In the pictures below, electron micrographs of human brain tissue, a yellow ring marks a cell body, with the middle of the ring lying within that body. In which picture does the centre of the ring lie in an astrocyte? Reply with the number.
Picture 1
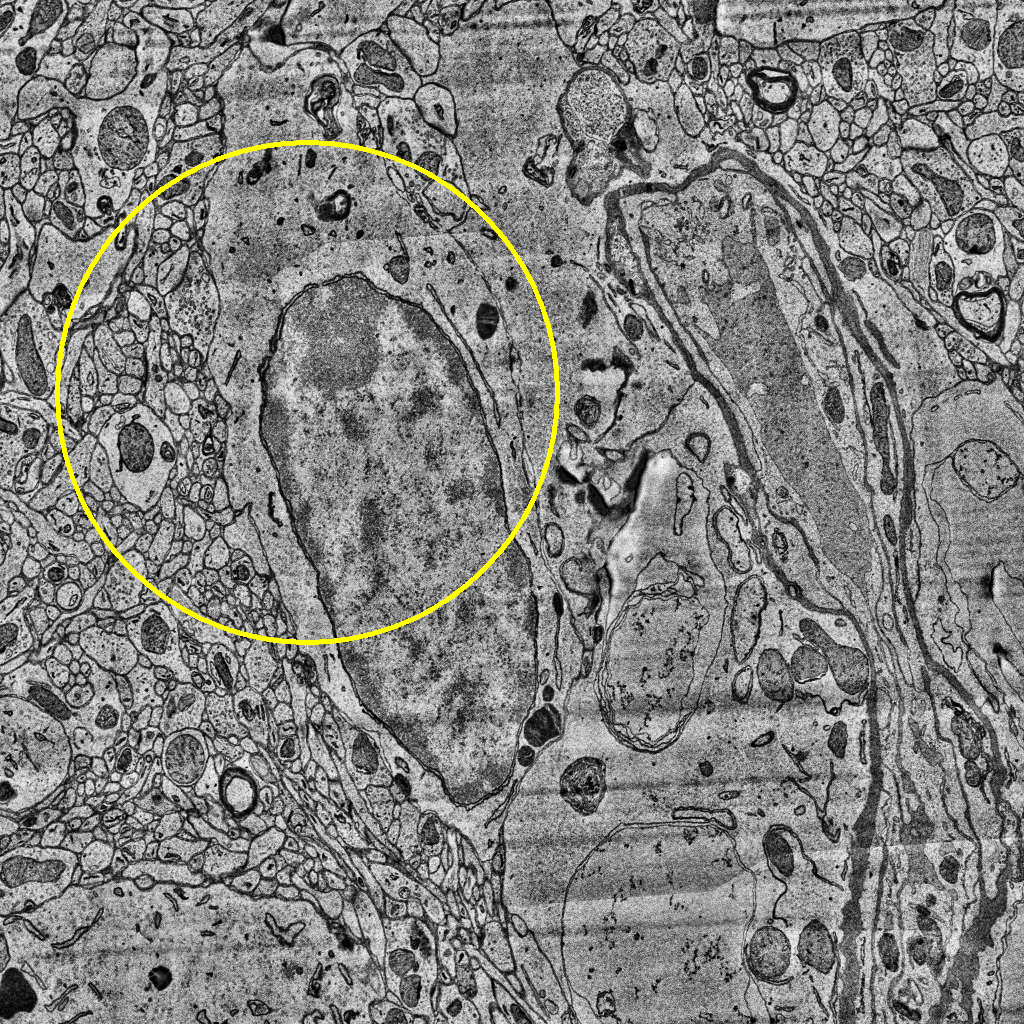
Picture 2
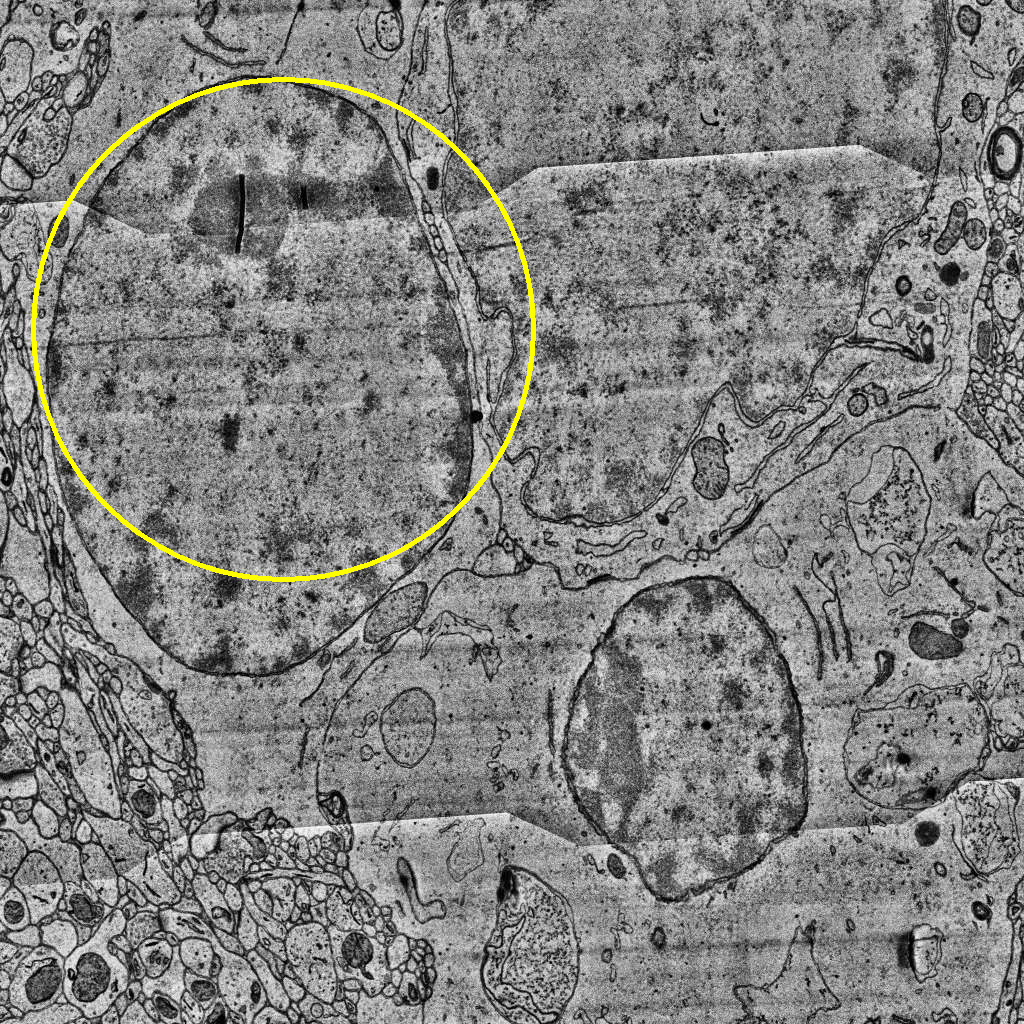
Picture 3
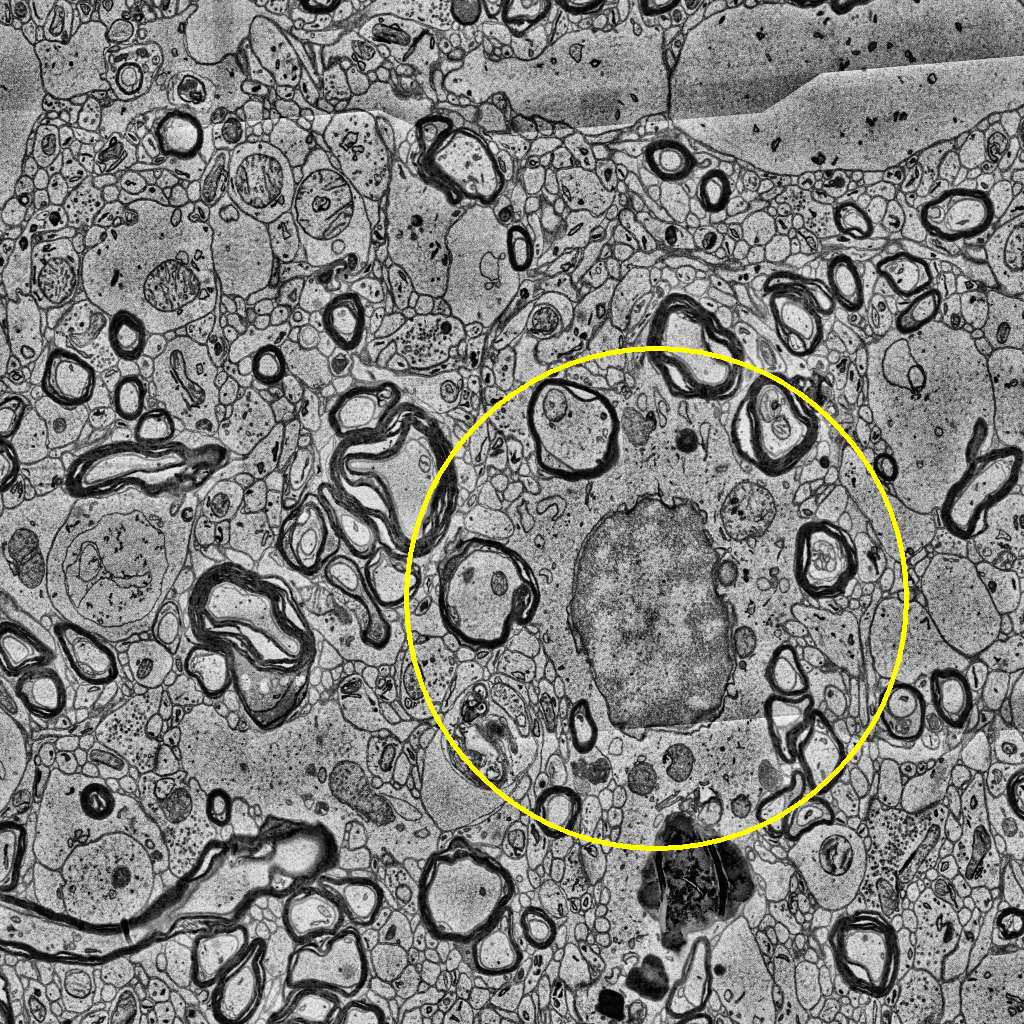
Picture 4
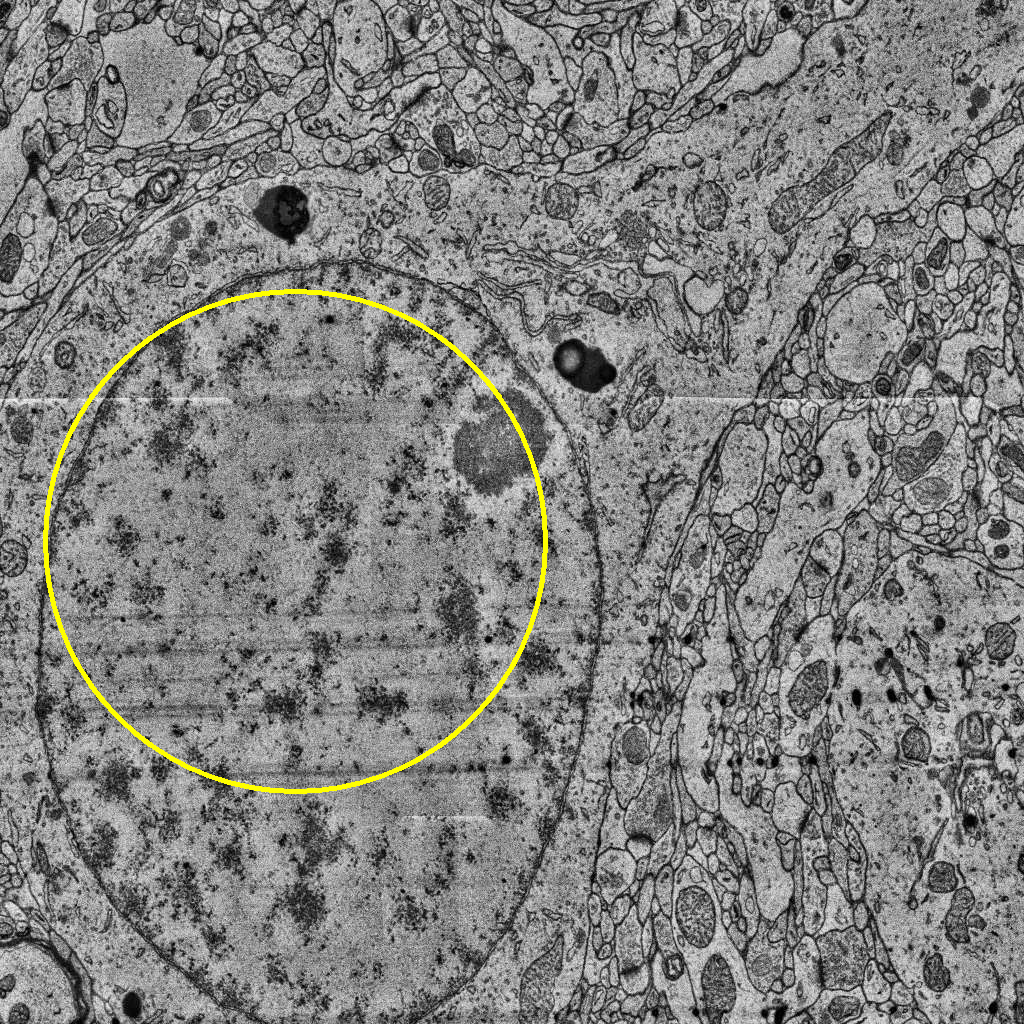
2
